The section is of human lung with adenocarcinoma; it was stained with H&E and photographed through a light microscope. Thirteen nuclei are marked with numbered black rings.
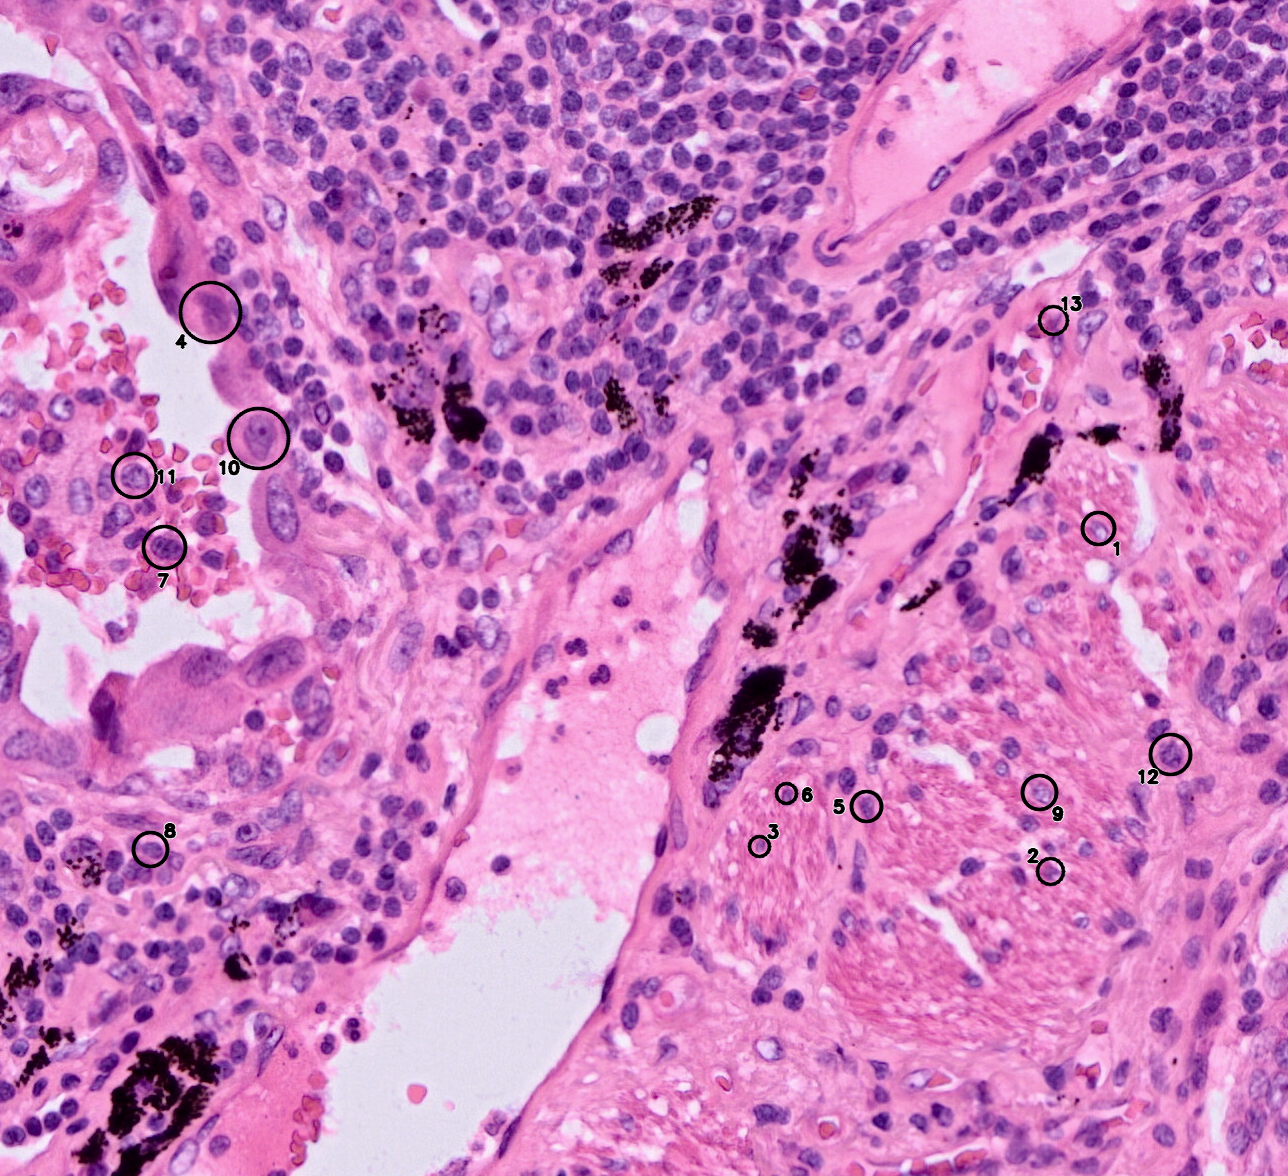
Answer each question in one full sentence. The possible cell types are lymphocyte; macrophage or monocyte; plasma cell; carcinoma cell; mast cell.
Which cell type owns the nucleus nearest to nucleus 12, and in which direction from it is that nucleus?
Lying above and to the left of nucleus 12, the nearest nucleus is that of a mast cell.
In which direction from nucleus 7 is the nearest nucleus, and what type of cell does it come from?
The closest nucleus belongs to a lymphocyte and sits above and to the left of nucleus 7.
